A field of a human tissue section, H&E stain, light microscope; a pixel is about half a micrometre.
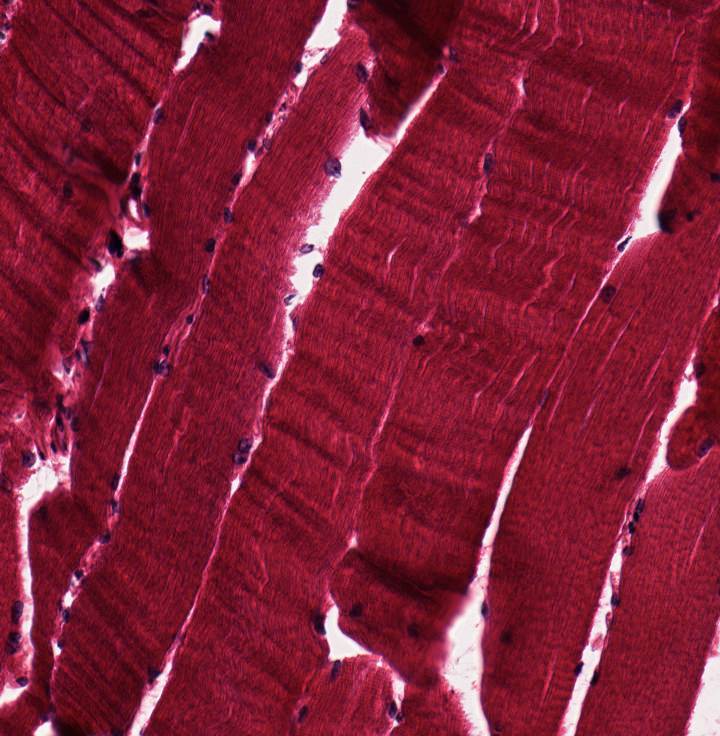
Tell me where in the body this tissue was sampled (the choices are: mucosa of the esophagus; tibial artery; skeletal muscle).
skeletal muscle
